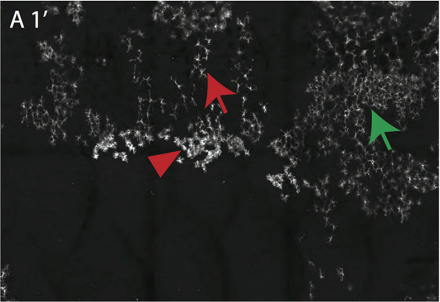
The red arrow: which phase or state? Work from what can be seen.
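Cells at the arrow are star-shaped with radiating processes. They are separated by dark gaps.
Hence: stellate and loosely packed.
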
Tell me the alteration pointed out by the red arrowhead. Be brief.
Compact organization and higher density.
